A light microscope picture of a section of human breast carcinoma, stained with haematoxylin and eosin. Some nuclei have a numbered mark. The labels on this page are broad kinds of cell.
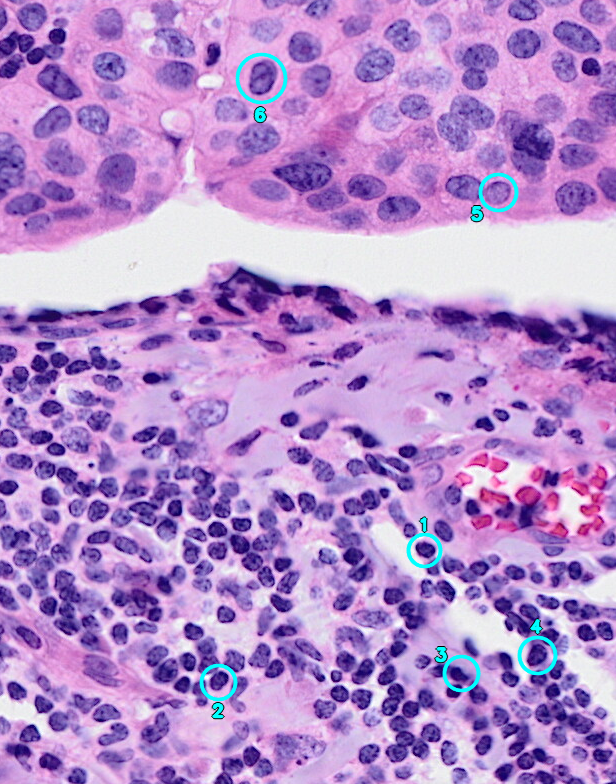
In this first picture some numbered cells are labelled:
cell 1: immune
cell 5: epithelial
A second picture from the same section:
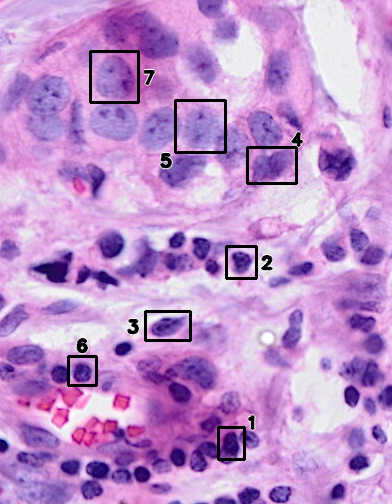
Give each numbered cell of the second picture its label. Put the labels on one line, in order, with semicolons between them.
immune; immune; immune; epithelial; epithelial; immune; epithelial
